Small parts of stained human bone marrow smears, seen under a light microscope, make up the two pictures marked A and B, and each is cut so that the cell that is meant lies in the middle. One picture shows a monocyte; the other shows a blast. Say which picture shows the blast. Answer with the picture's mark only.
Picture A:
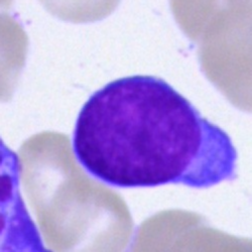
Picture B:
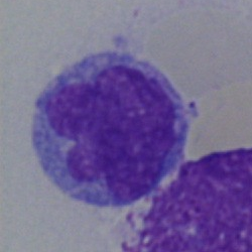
A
